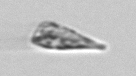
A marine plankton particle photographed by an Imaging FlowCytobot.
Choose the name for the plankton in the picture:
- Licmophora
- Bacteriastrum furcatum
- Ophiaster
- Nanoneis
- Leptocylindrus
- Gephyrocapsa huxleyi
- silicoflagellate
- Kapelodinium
Licmophora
